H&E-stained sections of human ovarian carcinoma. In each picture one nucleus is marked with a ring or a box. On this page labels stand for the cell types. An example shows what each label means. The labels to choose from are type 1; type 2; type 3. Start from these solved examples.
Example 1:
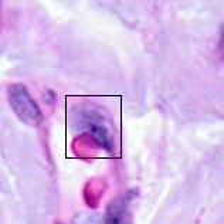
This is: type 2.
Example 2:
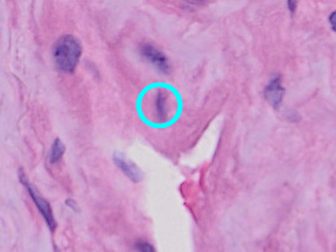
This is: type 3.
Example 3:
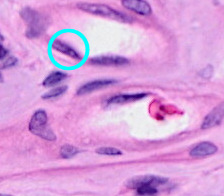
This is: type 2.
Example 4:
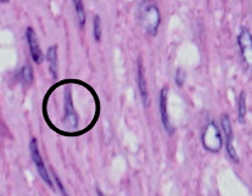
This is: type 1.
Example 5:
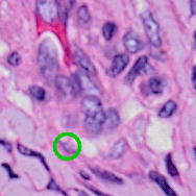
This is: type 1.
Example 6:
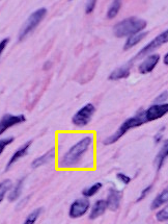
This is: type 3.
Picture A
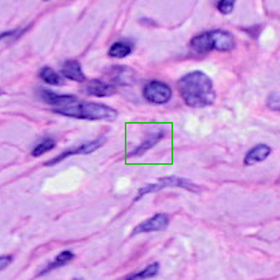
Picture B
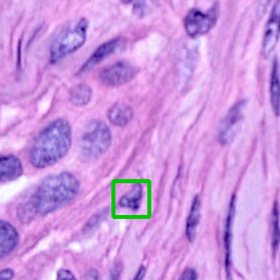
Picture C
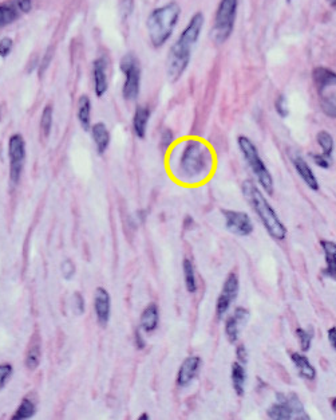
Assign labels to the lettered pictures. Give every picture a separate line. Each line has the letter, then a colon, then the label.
A: type 1.
B: type 1.
C: type 1.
